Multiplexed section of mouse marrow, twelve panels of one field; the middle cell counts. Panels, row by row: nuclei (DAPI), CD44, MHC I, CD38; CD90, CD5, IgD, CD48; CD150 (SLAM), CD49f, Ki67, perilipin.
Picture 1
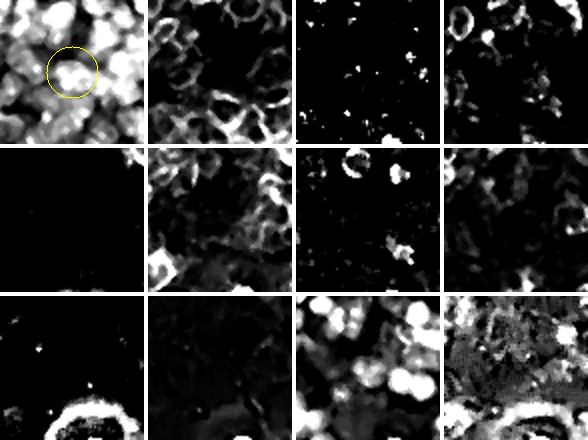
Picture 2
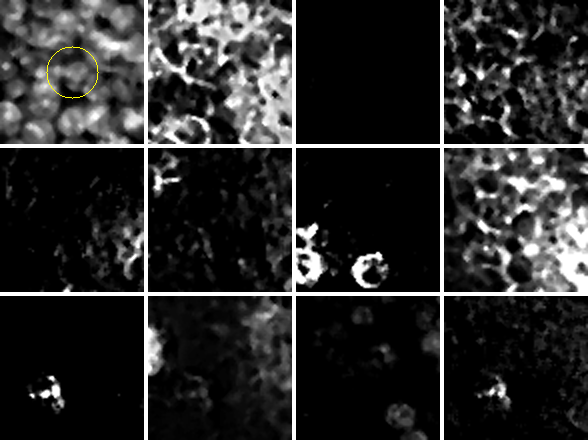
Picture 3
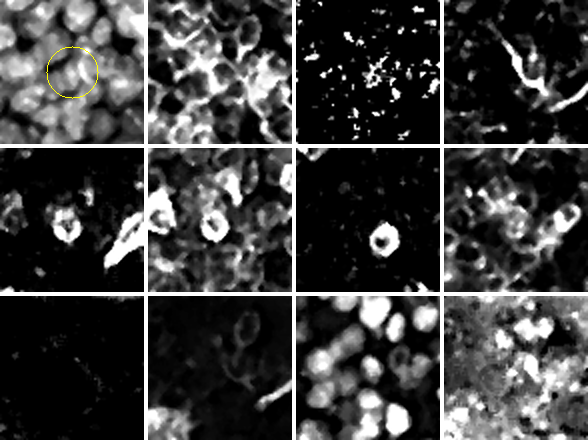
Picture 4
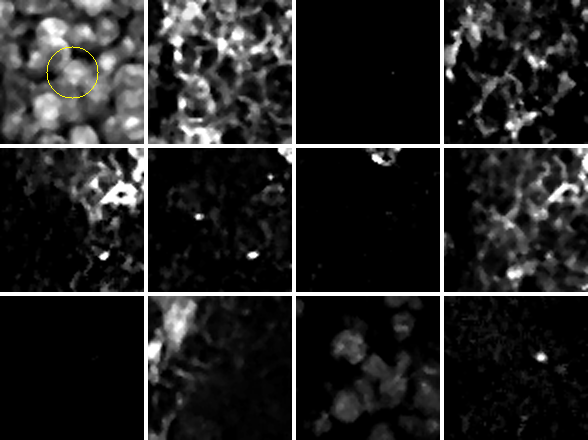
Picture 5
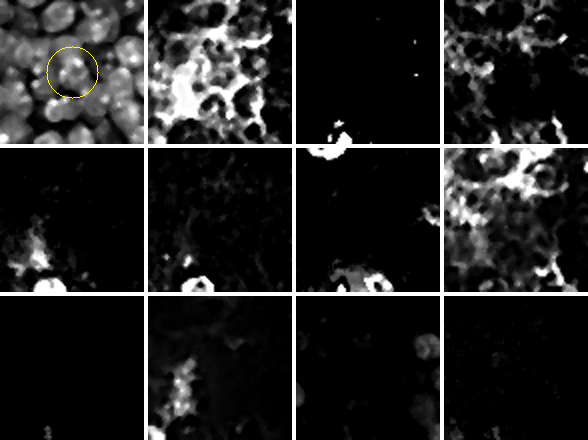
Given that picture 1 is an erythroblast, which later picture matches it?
4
